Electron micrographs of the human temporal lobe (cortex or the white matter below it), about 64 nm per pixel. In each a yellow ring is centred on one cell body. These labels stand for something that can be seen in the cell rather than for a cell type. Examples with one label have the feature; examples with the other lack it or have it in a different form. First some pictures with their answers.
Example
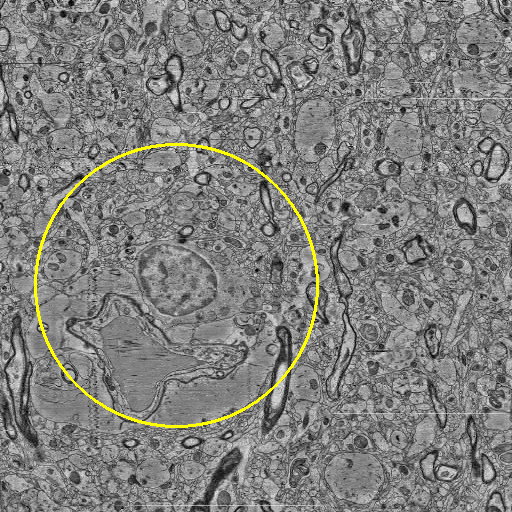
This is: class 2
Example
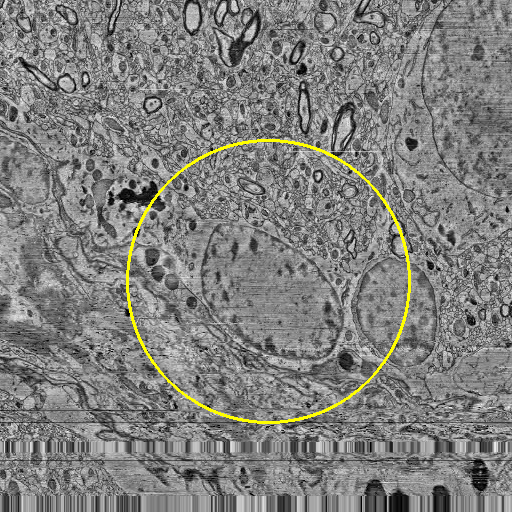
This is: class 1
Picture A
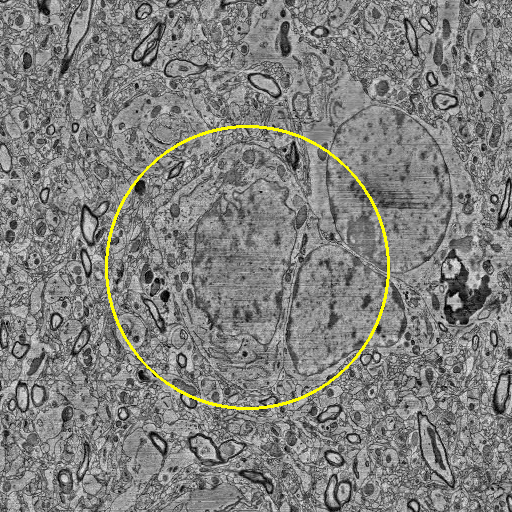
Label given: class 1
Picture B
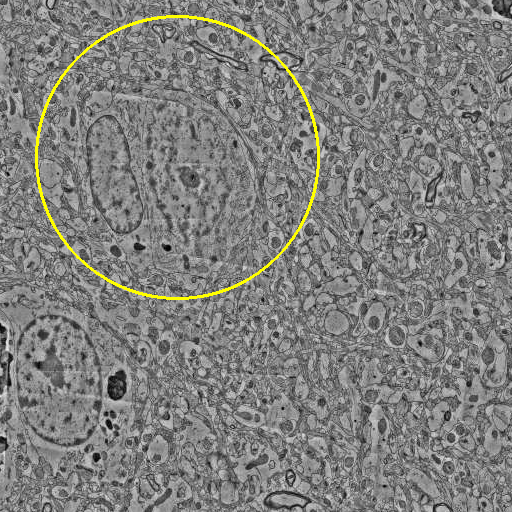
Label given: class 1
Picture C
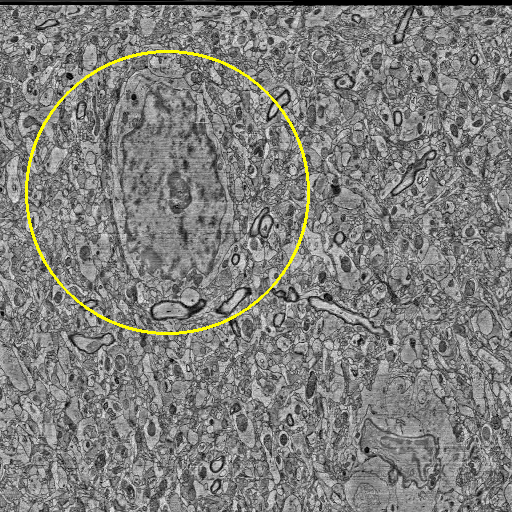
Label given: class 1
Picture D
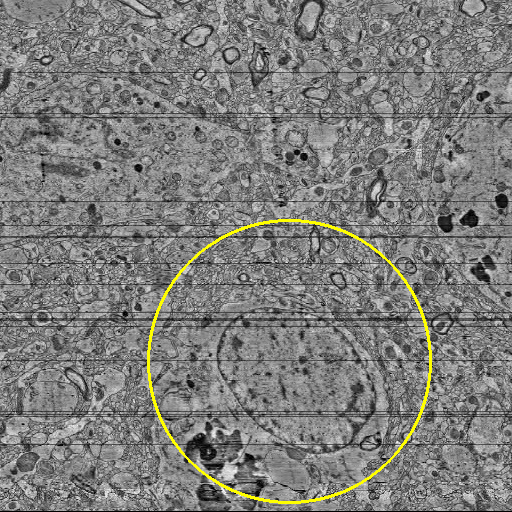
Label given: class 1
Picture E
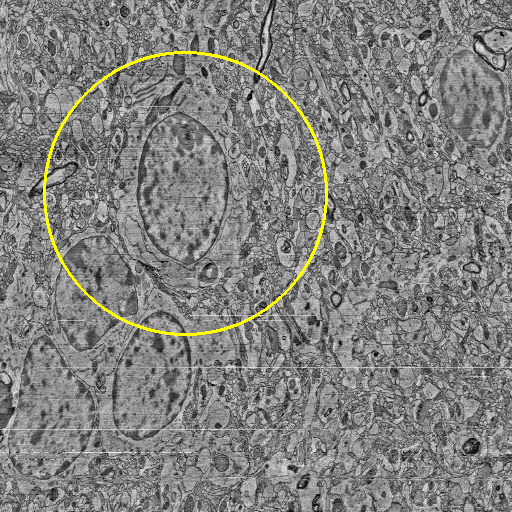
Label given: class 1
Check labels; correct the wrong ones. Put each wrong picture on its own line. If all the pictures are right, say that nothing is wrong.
All labels are correct.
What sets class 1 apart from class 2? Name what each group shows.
class 1: clearly elongated nuclei; class 2: round or nearly round nuclei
